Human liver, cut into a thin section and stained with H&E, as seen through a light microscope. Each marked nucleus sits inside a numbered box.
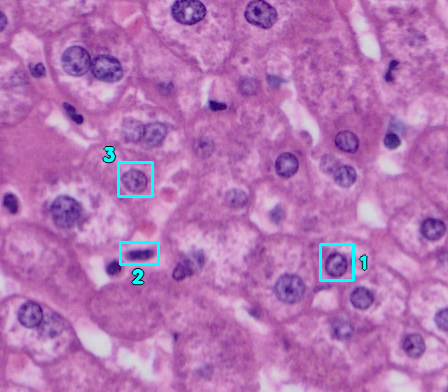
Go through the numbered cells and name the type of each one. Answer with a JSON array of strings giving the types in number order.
["hepatocyte", "lymphocyte", "hepatocyte"]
